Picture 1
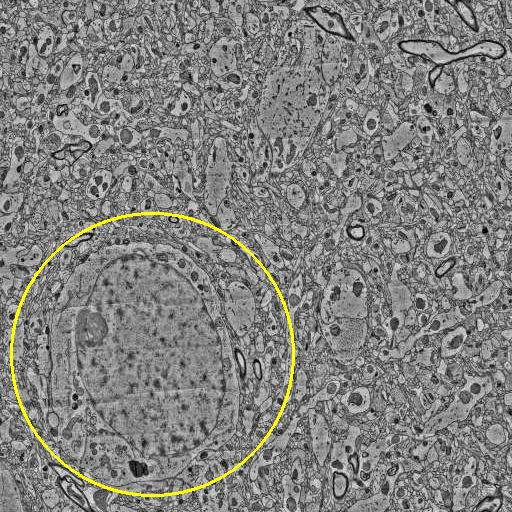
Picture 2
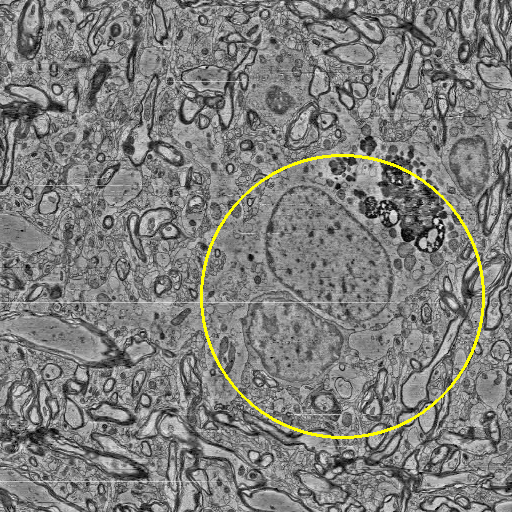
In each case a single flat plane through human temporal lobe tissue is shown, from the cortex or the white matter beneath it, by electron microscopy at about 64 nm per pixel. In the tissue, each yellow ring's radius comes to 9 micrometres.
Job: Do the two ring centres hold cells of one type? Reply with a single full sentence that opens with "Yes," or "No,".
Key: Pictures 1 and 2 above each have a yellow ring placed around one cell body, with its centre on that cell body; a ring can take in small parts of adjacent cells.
No, the cells at the two ring centres are of two separate types.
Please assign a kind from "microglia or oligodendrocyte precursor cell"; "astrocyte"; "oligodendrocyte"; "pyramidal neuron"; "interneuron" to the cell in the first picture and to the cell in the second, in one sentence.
In the first picture we have an interneuron, and in the second, an astrocyte.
